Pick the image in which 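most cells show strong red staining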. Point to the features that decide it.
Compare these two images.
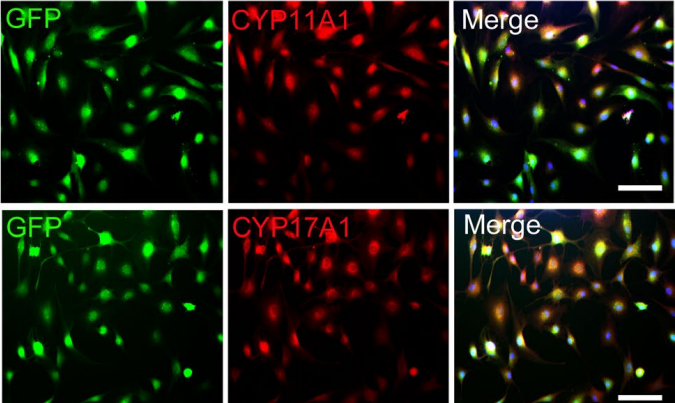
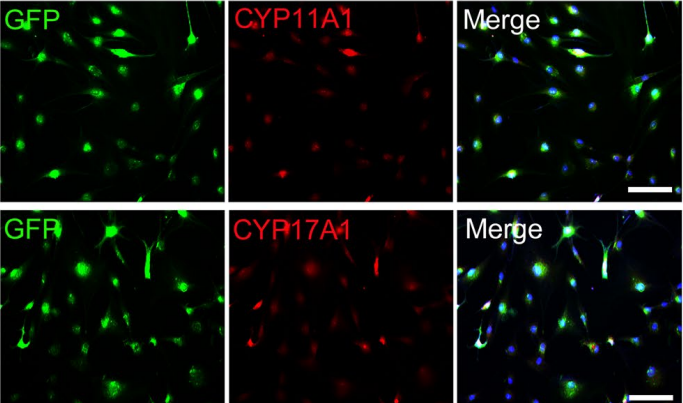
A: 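The first image. First image: nearly every green cell also carries bright red staining, and the merged images look yellow-orange.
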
